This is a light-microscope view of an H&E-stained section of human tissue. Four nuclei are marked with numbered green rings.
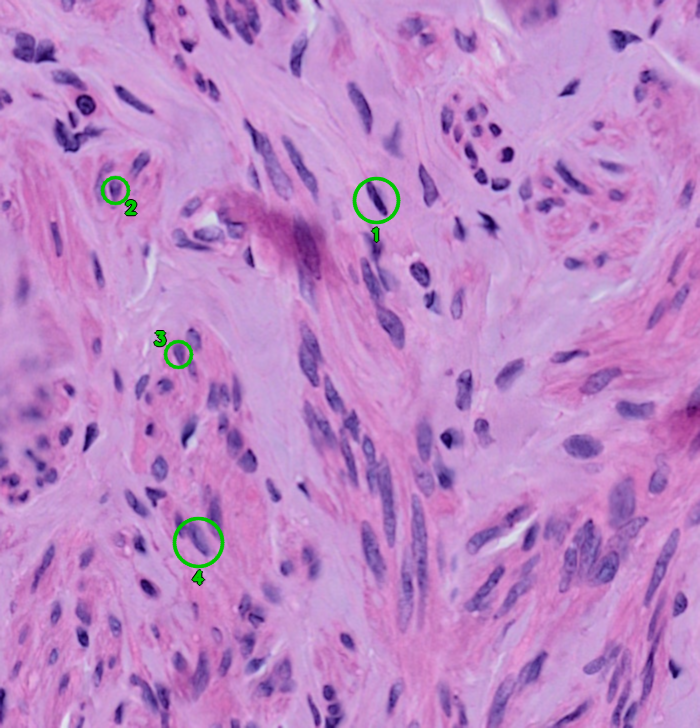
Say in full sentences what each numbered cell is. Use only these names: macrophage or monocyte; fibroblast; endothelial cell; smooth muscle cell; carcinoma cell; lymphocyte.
Cell 1 is a fibroblast, cell 2 is a smooth muscle cell, cell 3 is a smooth muscle cell and cell 4 is a smooth muscle cell.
